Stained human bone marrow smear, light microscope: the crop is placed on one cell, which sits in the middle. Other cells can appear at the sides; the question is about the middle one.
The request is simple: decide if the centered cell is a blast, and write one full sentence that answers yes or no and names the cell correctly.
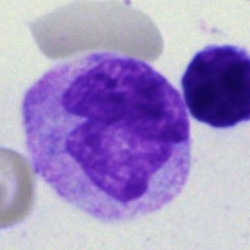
No, the central cell is not a blast, being instead a monocyte.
